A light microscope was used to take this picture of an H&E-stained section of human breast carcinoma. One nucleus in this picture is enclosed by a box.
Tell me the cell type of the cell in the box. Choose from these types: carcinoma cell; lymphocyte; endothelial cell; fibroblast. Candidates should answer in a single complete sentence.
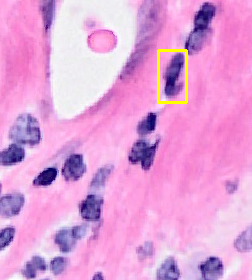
Cell type answer for this item: the cell in the box is a lymphocyte.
